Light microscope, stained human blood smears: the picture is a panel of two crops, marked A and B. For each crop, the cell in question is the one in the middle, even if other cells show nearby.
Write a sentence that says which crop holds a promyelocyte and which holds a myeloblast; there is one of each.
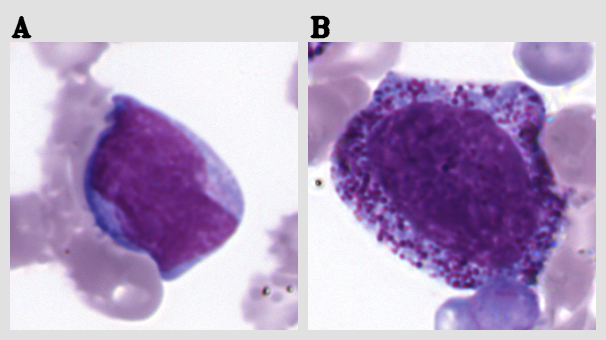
In crop A there is a myeloblast, and in crop B there is a promyelocyte.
